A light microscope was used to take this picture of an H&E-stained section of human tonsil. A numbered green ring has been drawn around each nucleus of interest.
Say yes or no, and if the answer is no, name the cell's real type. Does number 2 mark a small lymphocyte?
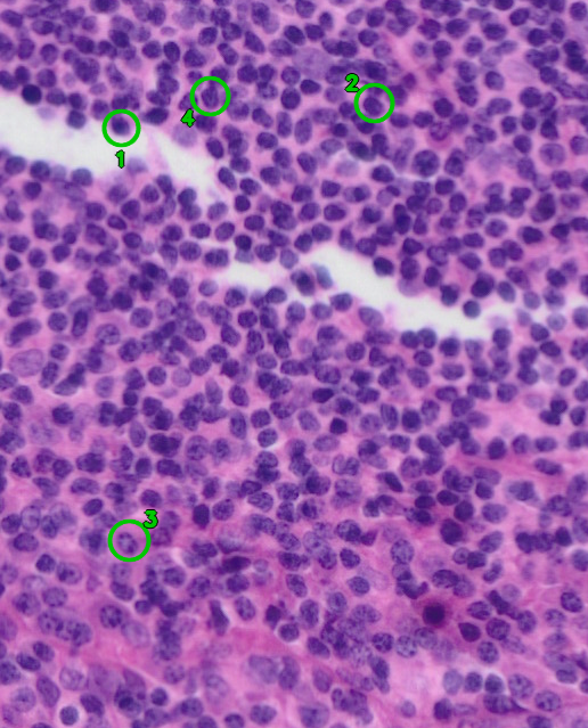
Yes.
